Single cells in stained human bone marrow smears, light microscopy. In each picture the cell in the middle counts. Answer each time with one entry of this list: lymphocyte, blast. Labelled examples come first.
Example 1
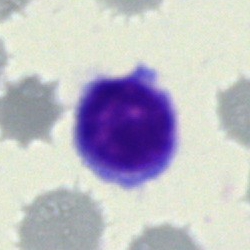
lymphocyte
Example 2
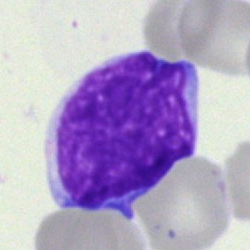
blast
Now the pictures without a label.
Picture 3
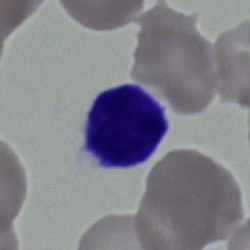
lymphocyte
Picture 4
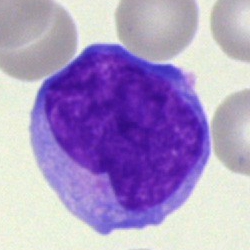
blast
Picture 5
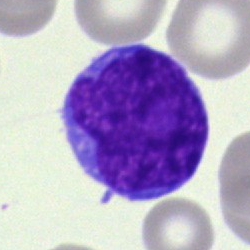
blast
